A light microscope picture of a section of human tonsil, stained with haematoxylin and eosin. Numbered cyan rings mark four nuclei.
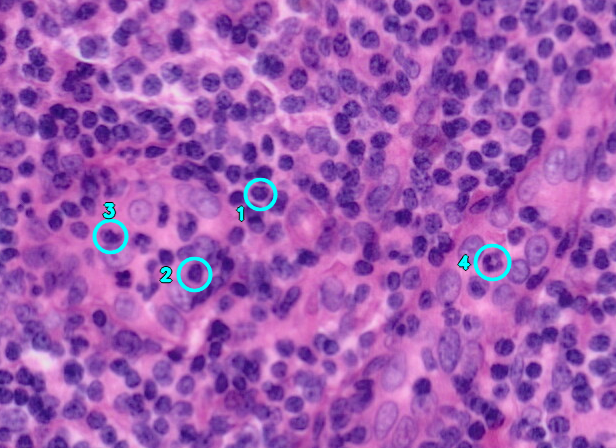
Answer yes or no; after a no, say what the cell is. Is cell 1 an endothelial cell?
No, it is a small lymphocyte.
